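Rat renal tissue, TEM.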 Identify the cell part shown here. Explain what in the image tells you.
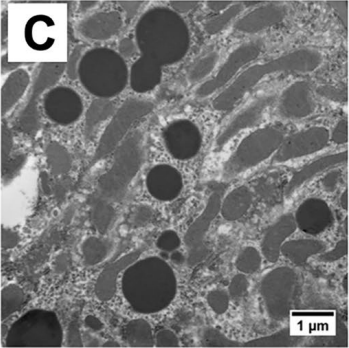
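Lysosomes. Several round, homogeneous electron-dense bodies in the cytoplasm. They lie among elongated mitochondria.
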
